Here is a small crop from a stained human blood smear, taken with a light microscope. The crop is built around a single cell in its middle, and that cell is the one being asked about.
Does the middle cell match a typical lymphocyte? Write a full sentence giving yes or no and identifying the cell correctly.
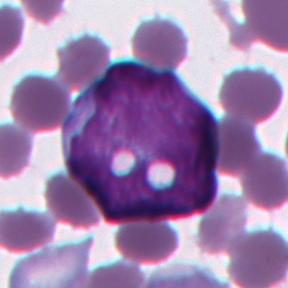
No, the cell located centrally is a myeloblast rather than a typical lymphocyte.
